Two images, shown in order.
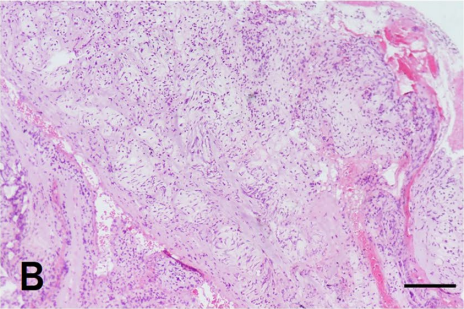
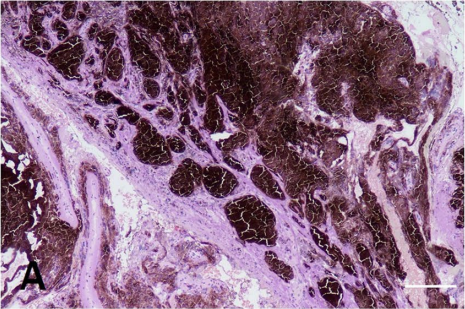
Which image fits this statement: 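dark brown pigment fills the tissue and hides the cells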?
The second image.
